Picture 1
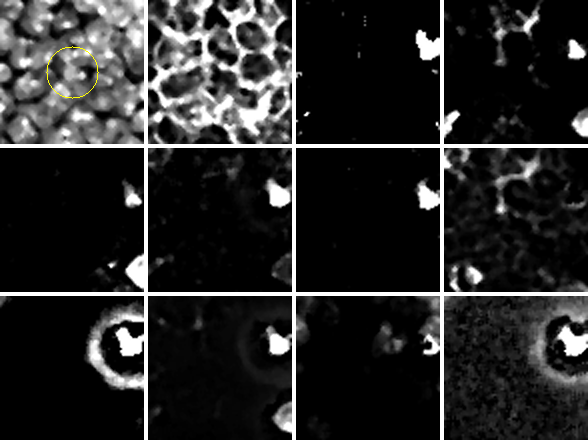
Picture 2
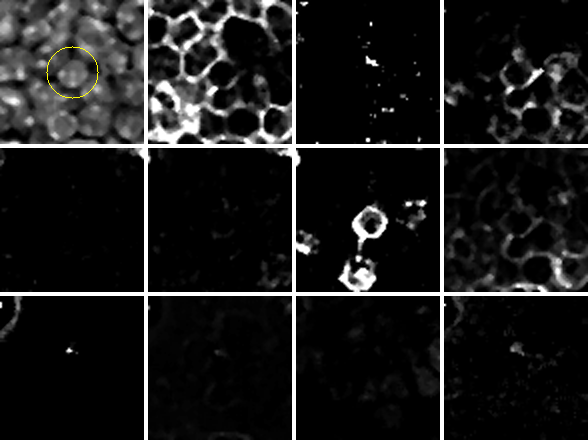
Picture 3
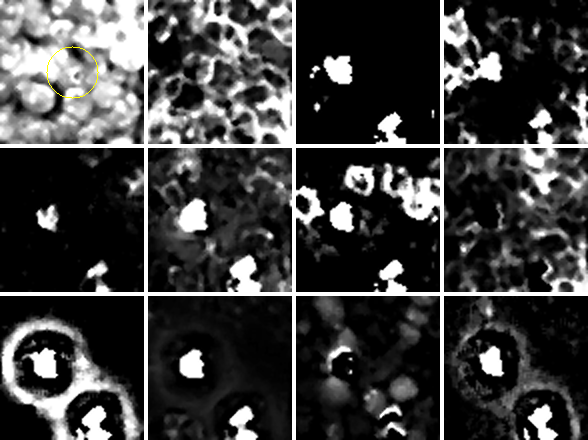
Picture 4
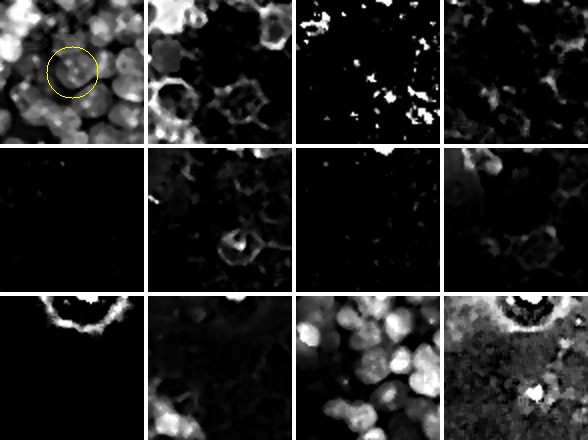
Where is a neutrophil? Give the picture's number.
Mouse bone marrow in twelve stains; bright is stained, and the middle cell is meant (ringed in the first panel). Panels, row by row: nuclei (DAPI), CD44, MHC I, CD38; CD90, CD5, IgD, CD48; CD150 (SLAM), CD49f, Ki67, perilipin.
1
